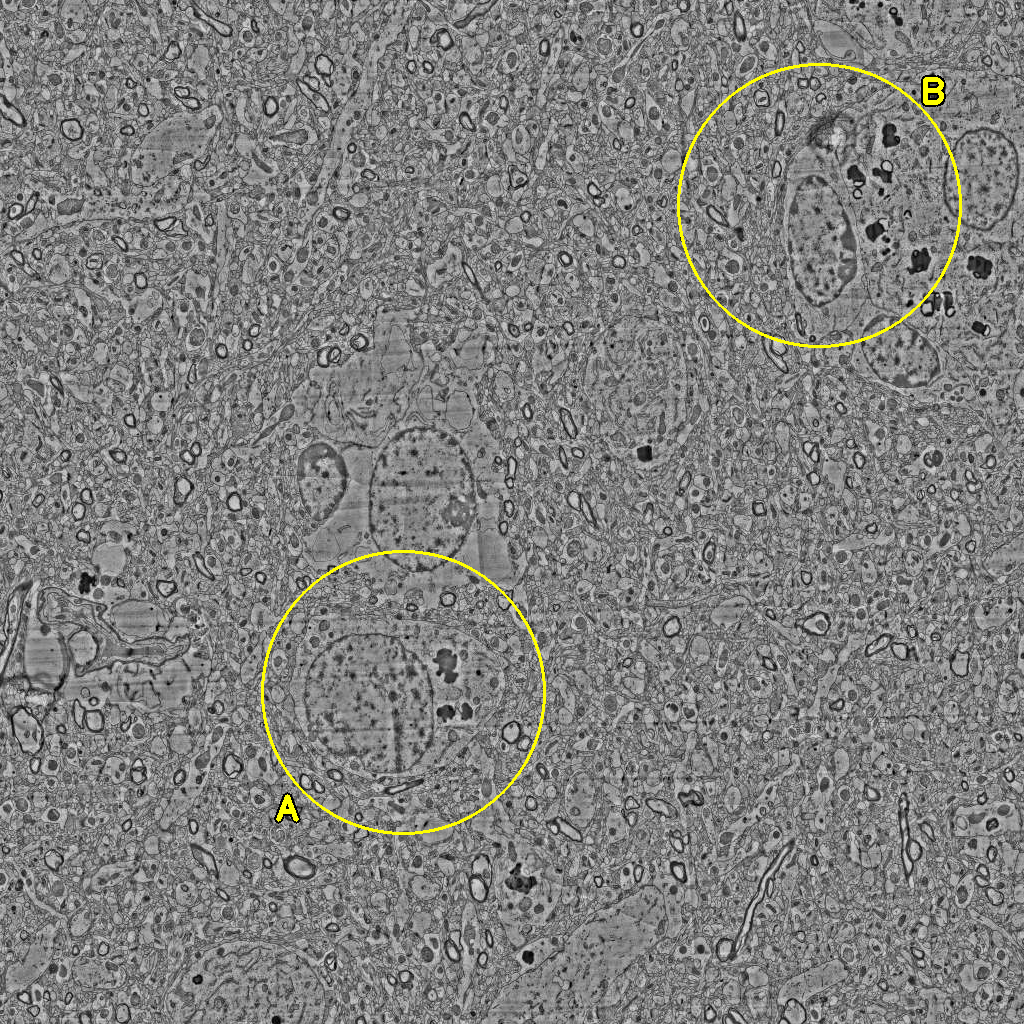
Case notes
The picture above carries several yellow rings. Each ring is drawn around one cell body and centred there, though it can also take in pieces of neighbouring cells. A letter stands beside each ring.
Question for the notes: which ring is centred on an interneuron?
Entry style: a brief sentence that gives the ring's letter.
Ring A is centred on it.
